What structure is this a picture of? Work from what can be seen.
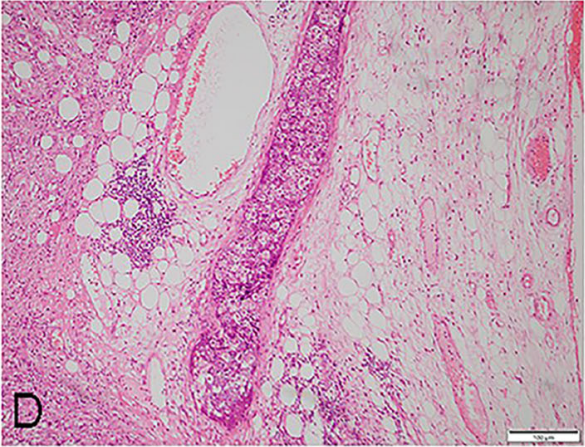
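Intravascular tumor thrombi. An elongated, thin-walled channel is filled with a dense plug of cells with purple nuclei. Large empty round fat cells surround the channel.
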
